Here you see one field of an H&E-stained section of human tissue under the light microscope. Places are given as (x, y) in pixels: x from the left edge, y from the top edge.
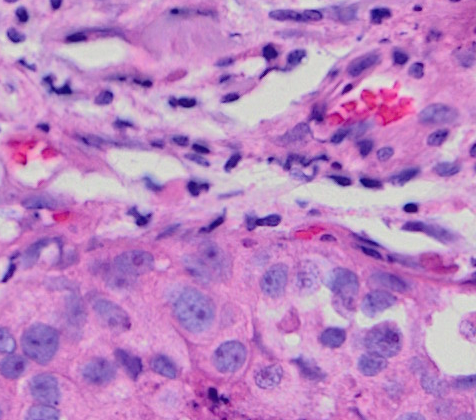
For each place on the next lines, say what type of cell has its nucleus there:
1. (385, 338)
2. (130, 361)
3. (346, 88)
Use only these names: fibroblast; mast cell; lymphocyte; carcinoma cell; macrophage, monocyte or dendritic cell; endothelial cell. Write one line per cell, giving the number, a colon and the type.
1: carcinoma cell
2: carcinoma cell
3: endothelial cell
